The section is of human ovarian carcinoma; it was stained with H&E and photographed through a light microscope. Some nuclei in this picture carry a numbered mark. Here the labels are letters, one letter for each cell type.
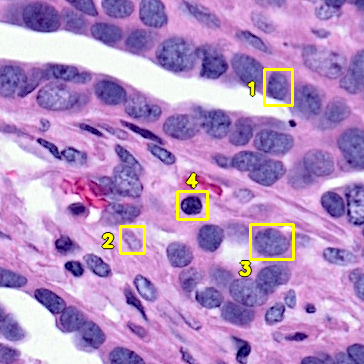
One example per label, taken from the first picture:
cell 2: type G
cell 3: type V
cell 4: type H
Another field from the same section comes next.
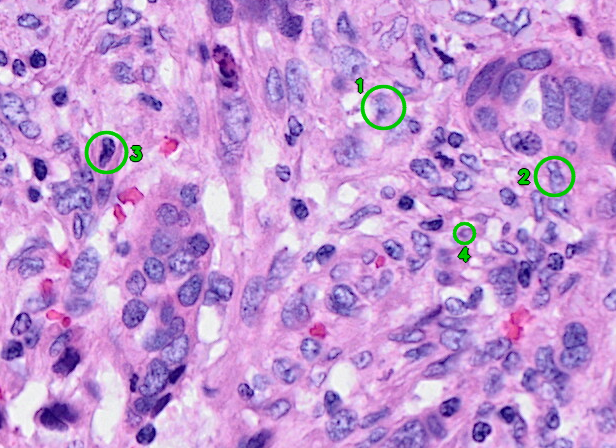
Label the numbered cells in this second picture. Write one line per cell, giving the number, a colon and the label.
1: type G
2: type G
3: type H
4: type G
